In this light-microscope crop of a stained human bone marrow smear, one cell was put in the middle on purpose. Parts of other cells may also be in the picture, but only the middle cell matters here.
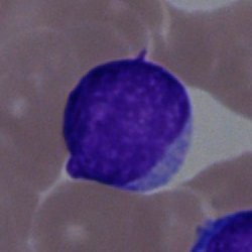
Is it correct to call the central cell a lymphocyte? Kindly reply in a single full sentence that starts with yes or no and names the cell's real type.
No, the cell at the center of this crop is a blast instead of a lymphocyte.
